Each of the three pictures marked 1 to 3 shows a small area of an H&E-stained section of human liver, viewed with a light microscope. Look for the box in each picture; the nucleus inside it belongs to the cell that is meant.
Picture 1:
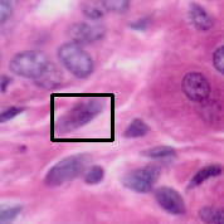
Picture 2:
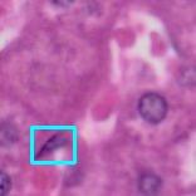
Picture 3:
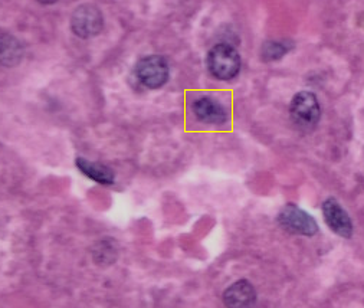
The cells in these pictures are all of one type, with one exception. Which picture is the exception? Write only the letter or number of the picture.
2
